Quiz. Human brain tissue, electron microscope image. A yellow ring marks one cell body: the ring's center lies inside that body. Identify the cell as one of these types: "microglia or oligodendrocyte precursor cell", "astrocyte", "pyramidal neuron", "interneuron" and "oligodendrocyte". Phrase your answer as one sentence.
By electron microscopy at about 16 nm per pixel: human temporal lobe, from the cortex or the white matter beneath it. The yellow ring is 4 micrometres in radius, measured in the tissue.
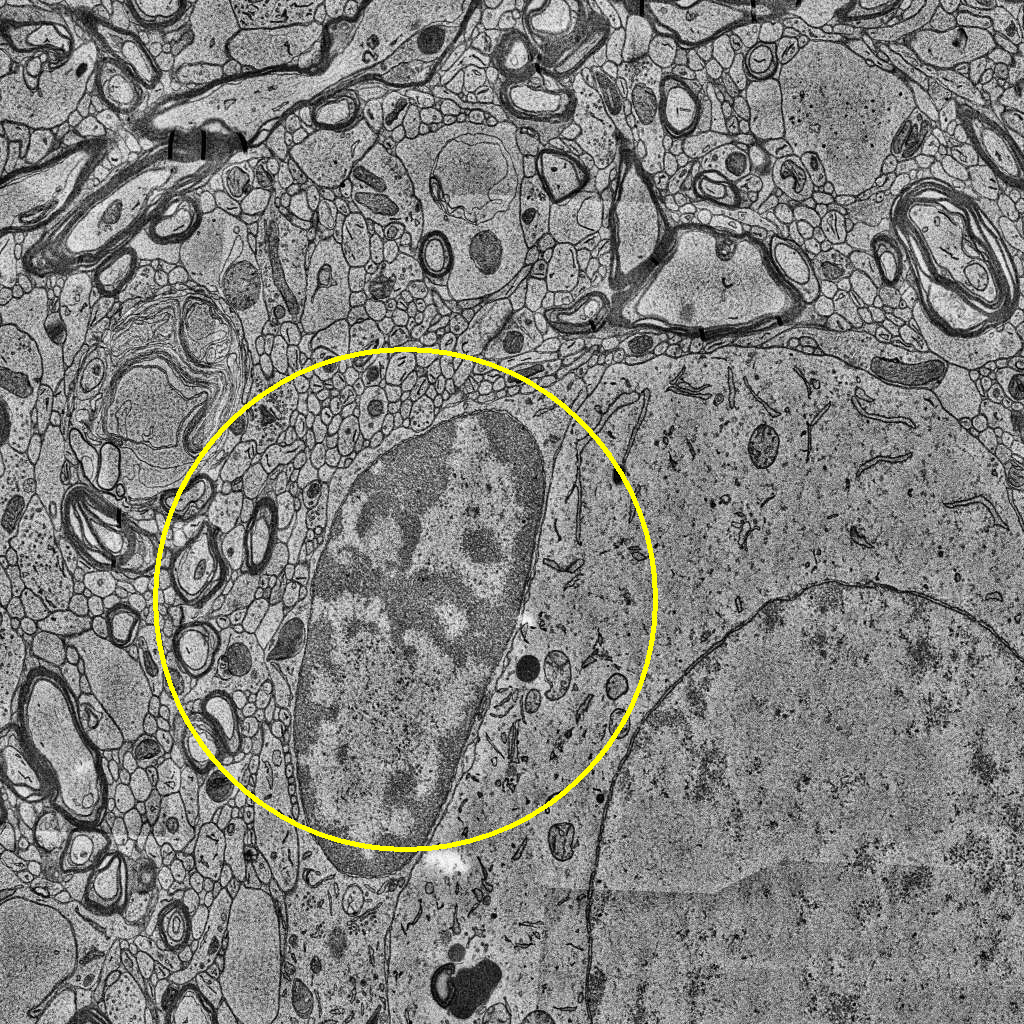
At the center of the ring sits a microglial cell or oligodendrocyte precursor cell.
